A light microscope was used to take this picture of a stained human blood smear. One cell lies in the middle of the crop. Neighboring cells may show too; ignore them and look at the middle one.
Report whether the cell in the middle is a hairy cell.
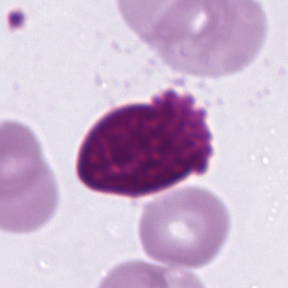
no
